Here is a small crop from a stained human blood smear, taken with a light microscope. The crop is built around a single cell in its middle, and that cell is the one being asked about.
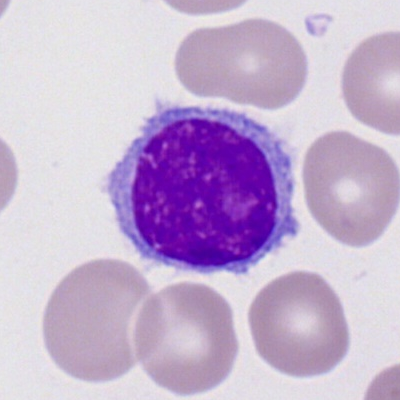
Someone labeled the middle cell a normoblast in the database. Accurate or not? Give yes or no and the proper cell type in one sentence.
No, what lies at the heart of the crop is a lymphocyte, not a normoblast.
